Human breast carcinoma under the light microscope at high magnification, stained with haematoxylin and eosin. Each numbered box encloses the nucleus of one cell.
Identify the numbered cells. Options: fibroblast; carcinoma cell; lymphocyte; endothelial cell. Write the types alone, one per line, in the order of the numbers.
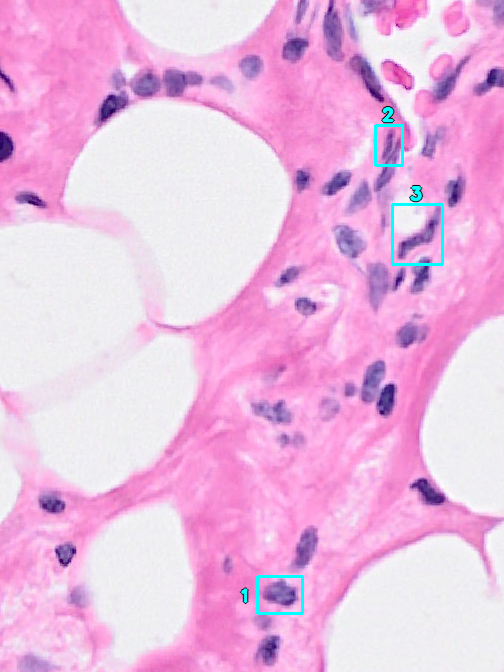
lymphocyte
endothelial cell
endothelial cell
